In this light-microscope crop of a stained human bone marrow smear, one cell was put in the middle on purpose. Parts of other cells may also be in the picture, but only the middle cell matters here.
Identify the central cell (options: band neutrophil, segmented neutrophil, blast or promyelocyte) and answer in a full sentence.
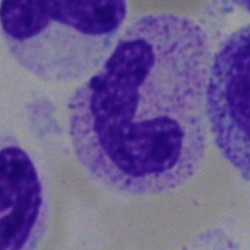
In short, the cell at the center is a segmented neutrophil.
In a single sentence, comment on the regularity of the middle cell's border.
A smooth, projection-free outline is what this cell has.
